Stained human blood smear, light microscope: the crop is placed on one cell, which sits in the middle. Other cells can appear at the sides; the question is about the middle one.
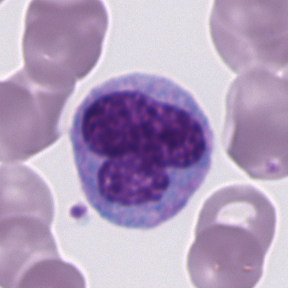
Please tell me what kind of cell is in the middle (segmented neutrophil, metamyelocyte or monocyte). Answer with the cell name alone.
monocyte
